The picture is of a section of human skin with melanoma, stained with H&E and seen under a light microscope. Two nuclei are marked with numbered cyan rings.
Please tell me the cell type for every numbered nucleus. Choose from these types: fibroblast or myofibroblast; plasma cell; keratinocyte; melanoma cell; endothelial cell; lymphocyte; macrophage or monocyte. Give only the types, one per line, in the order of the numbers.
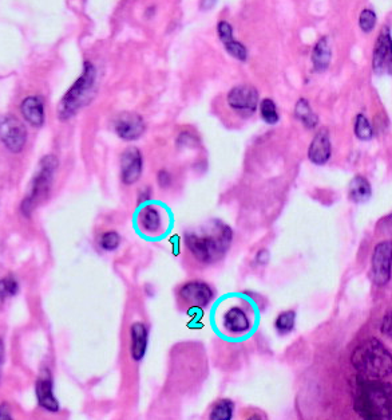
macrophage or monocyte
lymphocyte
